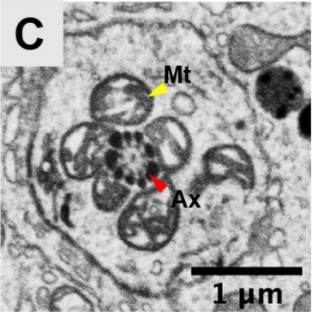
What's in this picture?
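This is a cross-section through the middle piece of a developing sperm tail, showing the mitochondrial sheath. In the centre lies the axoneme, seen as a ring of small dark dot-like microtubule profiles with a couple more in the middle. A thin membrane wraps the whole bundle, and ordinary cytoplasm with vesicles lies outside it.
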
